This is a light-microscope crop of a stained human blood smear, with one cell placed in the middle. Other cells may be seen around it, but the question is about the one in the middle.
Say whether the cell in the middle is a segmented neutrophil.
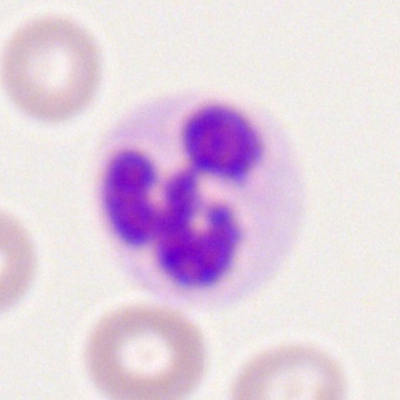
yes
